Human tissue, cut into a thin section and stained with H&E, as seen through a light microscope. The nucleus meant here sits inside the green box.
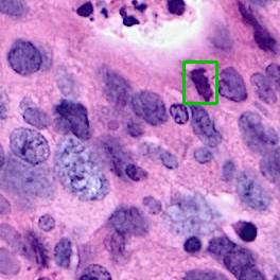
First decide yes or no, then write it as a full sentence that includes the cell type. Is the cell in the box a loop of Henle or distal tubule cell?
No, within this section, the cell in the box is categorized as a carcinoma cell rather than a loop of Henle or distal tubule cell.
